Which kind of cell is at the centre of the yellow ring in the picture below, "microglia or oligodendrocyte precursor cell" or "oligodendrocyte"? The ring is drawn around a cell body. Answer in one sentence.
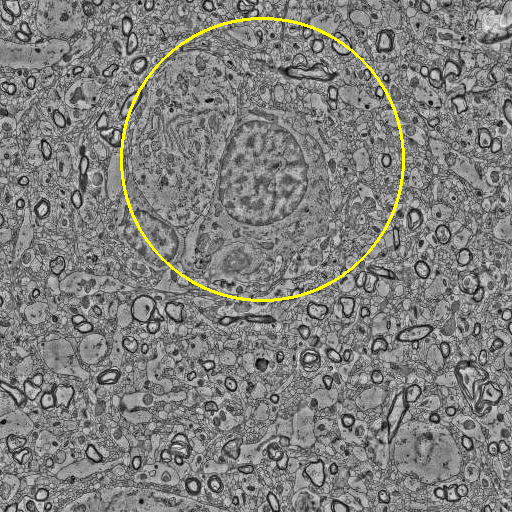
The ring's central cell is an oligodendrocyte.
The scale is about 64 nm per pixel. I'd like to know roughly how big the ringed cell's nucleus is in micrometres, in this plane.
The ringed cell's nucleus is about 6 micrometres across in this plane.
